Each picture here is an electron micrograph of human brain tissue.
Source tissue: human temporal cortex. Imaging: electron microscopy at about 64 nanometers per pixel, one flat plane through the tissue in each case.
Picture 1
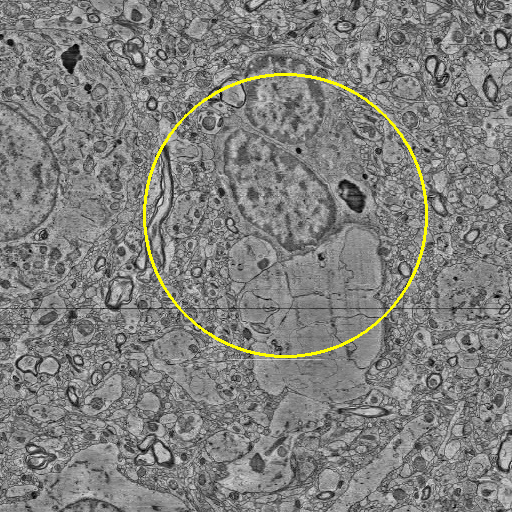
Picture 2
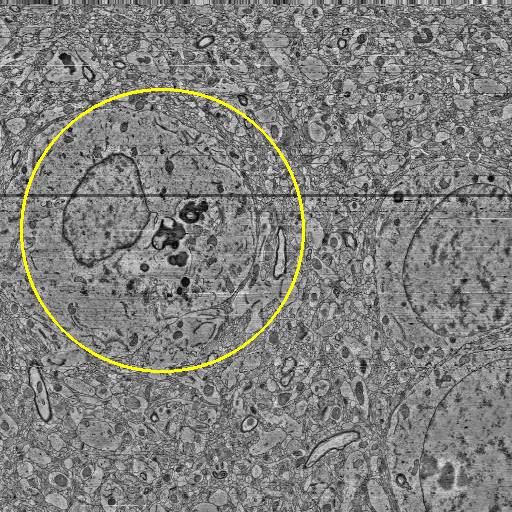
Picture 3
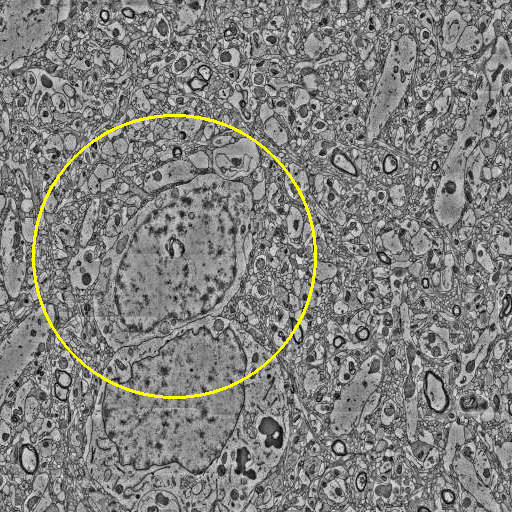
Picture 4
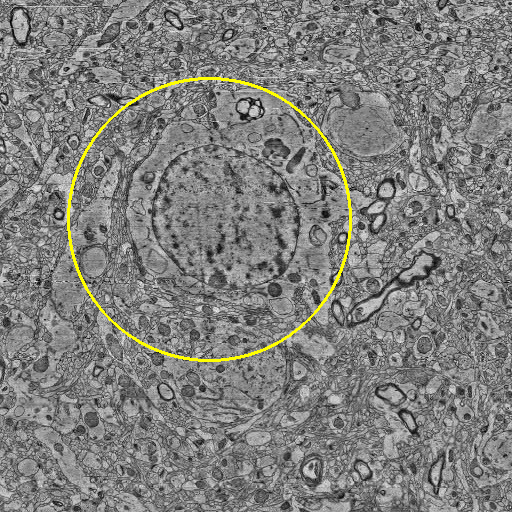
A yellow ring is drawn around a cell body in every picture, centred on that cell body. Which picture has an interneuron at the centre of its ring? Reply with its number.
3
